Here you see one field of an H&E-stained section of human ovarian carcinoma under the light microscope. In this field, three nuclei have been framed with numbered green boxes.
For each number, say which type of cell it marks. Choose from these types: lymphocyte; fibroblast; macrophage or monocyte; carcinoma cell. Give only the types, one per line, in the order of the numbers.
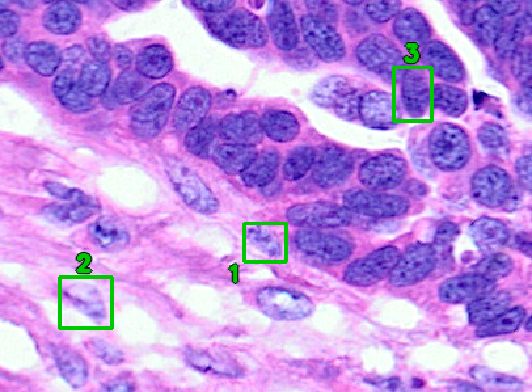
fibroblast
fibroblast
carcinoma cell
